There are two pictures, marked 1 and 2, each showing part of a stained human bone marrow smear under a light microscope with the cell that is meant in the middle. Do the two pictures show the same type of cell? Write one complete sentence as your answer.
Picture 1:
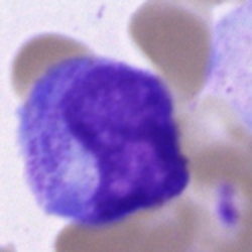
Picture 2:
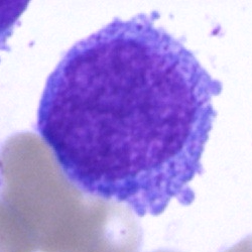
Yes, both cells are promyelocytes.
